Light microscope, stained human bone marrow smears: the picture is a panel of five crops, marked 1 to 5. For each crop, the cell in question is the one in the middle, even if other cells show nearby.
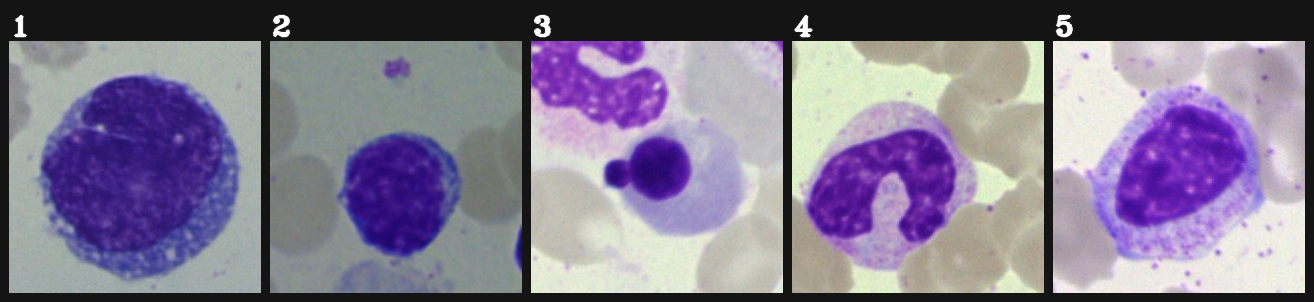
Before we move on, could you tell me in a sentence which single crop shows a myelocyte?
As for which crop shows a myelocyte, it is crop 5.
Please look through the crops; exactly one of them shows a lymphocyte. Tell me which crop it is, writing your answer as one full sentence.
Crop 2 alone, of all the crops, shows a lymphocyte.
